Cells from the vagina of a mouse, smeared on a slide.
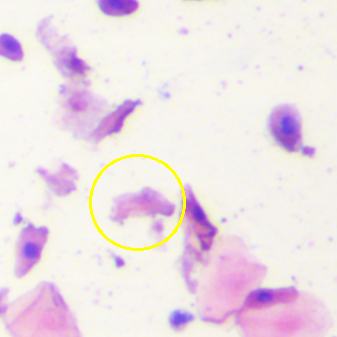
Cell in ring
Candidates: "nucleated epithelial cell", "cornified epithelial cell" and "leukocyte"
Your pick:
cornified epithelial cell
